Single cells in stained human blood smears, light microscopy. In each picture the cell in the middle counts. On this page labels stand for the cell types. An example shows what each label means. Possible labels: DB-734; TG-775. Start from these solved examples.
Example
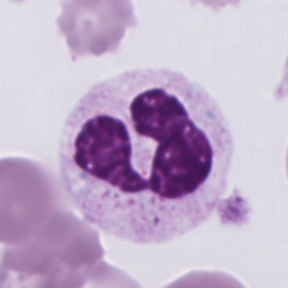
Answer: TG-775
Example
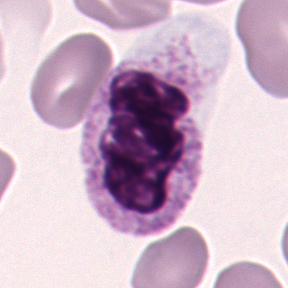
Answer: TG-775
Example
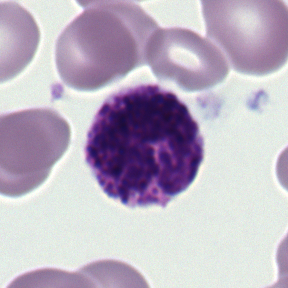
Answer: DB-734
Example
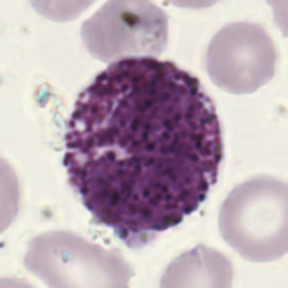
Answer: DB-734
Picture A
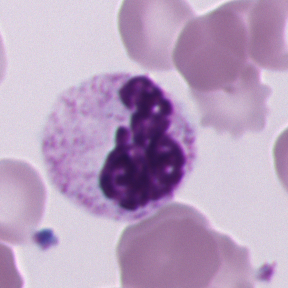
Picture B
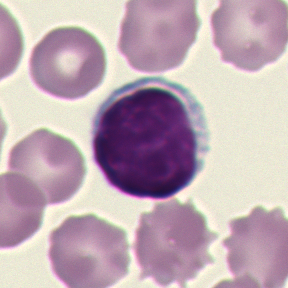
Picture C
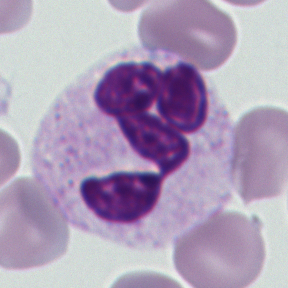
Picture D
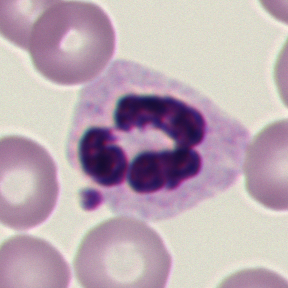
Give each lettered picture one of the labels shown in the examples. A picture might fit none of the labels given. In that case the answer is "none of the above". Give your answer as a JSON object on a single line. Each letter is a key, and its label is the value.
{"A": "TG-775", "B": "none of the above", "C": "TG-775", "D": "TG-775"}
